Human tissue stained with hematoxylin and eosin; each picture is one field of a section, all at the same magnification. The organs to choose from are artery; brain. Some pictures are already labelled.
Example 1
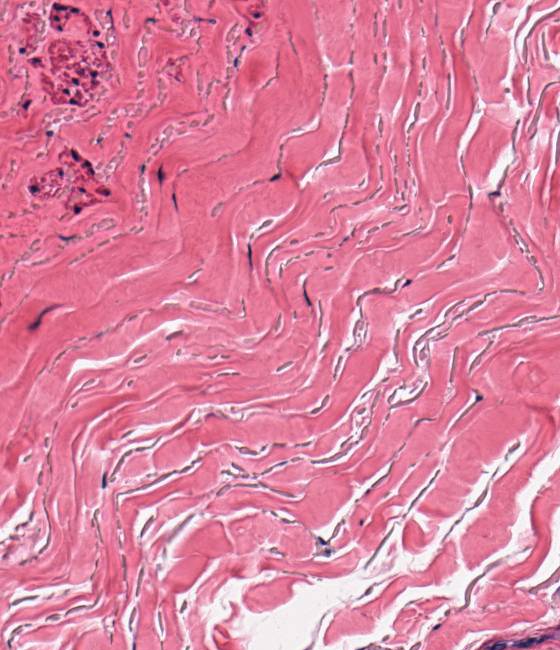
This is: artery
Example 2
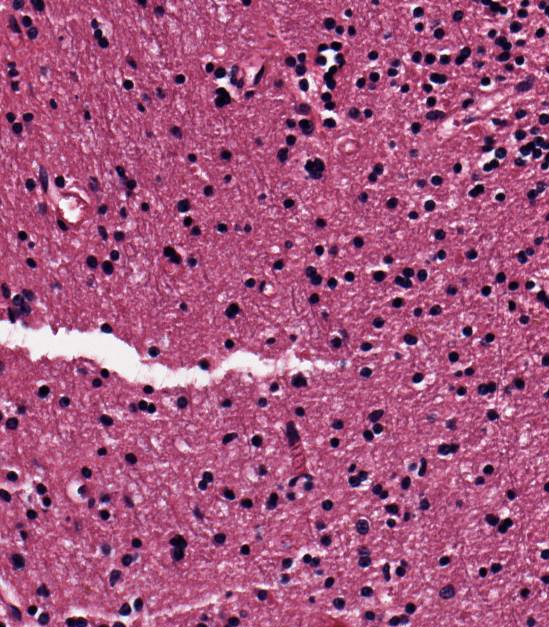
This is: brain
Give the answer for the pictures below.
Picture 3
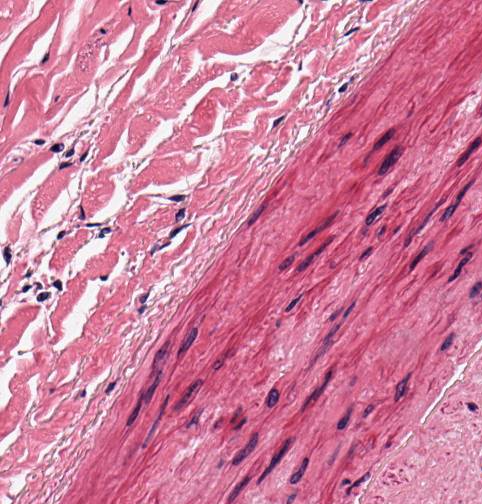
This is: artery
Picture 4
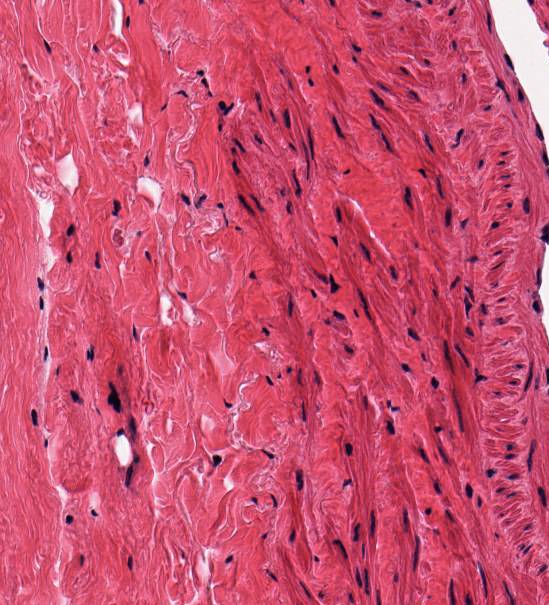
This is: artery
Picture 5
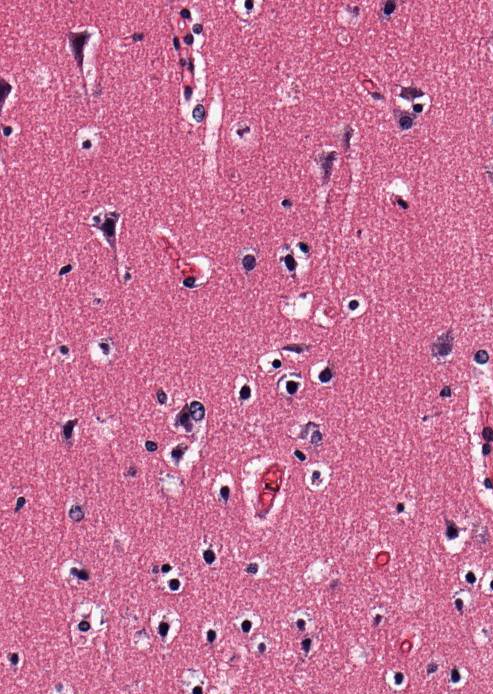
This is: brain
